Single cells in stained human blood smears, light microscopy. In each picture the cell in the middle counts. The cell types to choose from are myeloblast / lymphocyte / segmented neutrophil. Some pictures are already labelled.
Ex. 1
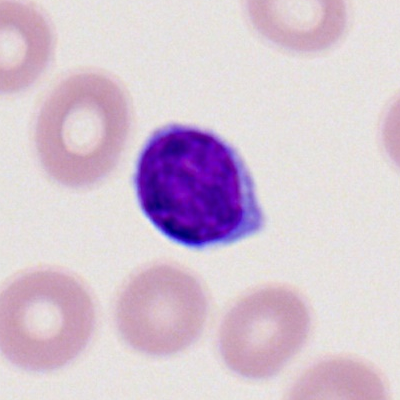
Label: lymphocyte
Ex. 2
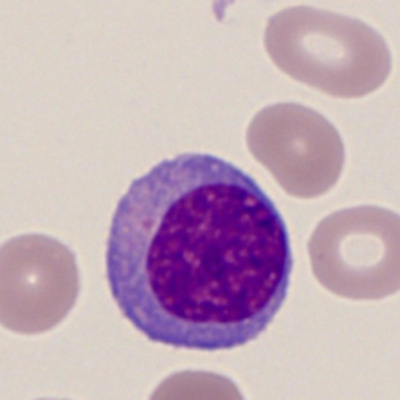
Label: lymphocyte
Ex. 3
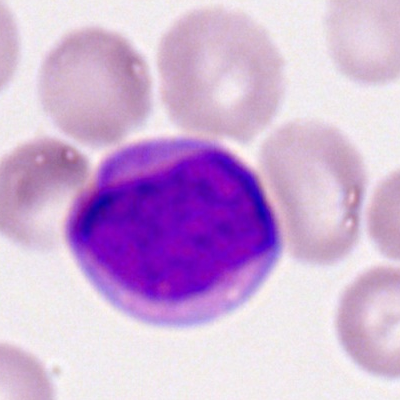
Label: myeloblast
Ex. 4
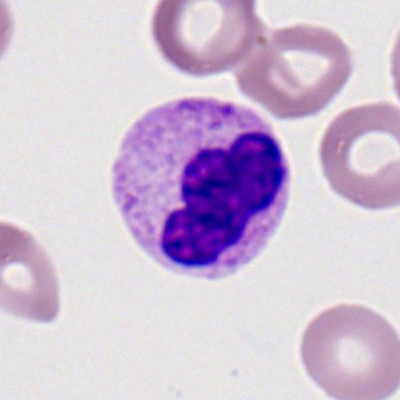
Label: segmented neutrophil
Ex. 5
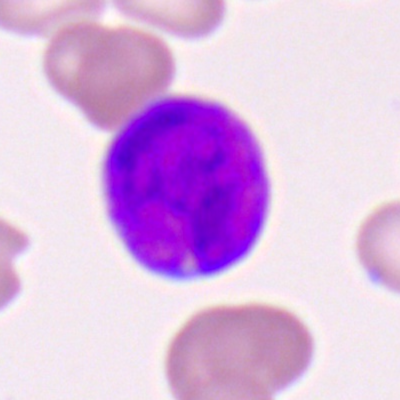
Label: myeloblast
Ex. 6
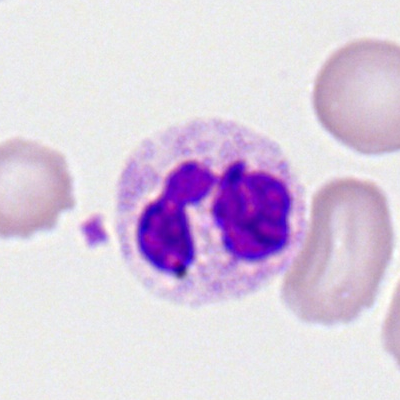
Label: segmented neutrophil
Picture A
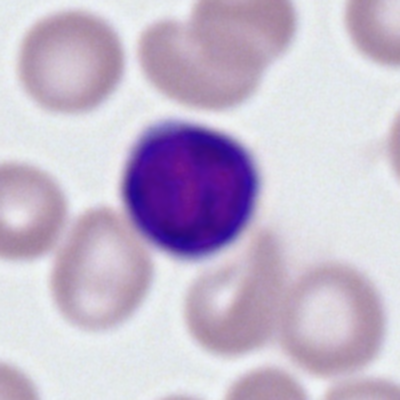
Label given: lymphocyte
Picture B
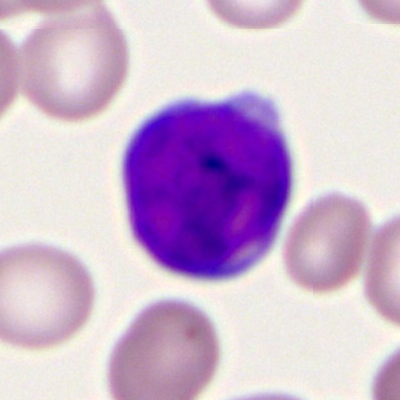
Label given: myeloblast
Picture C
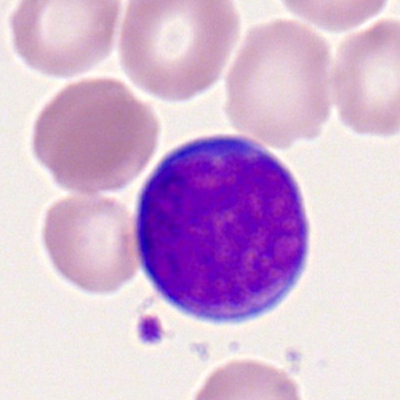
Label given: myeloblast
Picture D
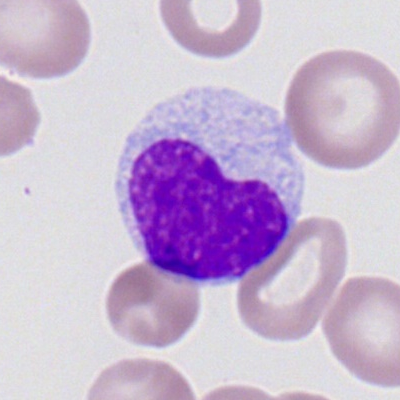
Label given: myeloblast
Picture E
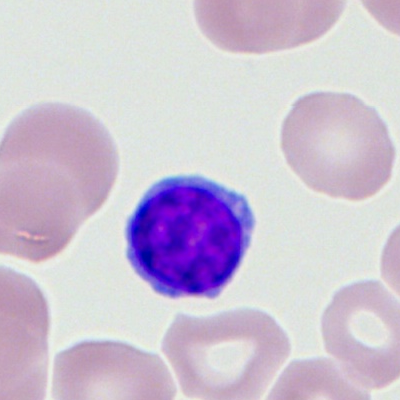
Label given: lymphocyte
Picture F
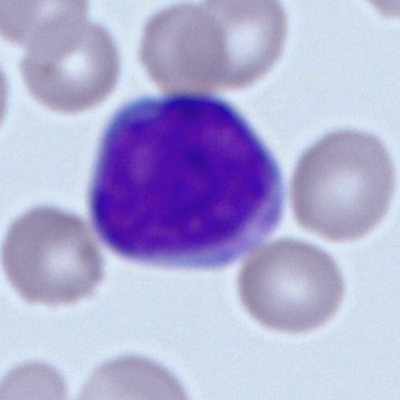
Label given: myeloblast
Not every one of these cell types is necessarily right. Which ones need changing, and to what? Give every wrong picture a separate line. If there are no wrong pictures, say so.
D is labelled myeloblast; correct label: lymphocyte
